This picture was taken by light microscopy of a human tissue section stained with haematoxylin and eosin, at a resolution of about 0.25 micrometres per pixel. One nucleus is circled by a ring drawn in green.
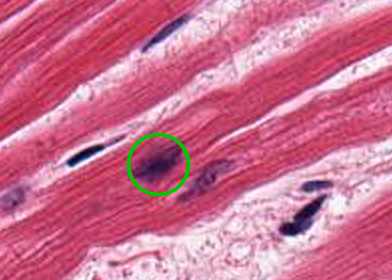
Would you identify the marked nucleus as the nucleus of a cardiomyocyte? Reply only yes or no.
yes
